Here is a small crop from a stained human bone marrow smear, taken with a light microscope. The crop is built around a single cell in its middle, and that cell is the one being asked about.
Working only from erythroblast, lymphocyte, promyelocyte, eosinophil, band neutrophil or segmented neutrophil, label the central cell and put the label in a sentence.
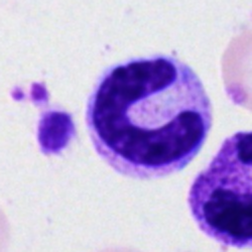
Framed in the middle of the crop is a band neutrophil.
